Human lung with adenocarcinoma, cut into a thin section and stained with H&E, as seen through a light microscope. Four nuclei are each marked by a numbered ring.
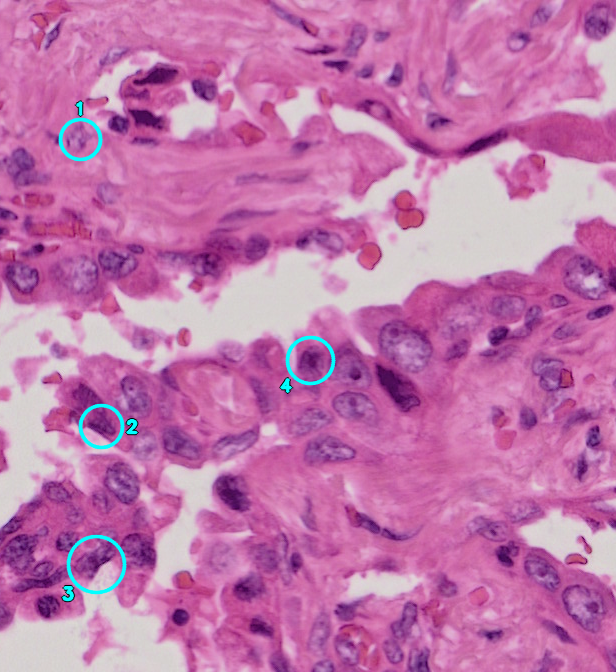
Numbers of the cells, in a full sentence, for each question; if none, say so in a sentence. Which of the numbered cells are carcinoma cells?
So, the cells with numbers 2, 3 and 4 are carcinoma cells.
